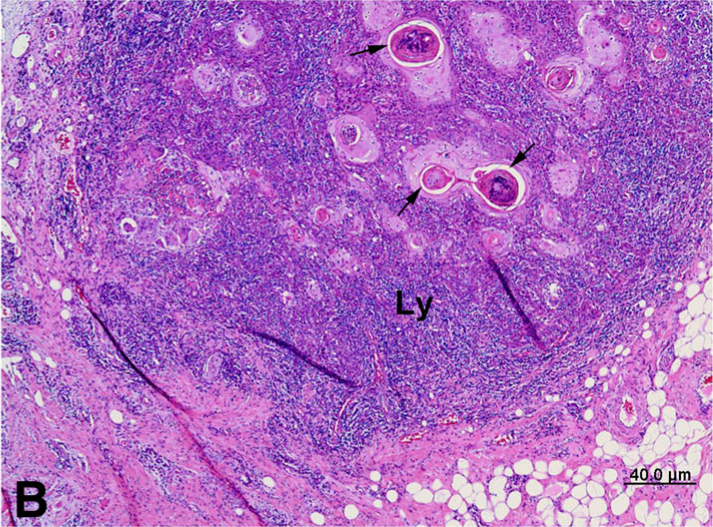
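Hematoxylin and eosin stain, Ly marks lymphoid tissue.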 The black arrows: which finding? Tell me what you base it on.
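Keratinized epithelium. Round, sharply bounded spaces each containing concentric pink material. The round spaces lie within pale pink epithelial nests set in dense purple cellular tissue.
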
